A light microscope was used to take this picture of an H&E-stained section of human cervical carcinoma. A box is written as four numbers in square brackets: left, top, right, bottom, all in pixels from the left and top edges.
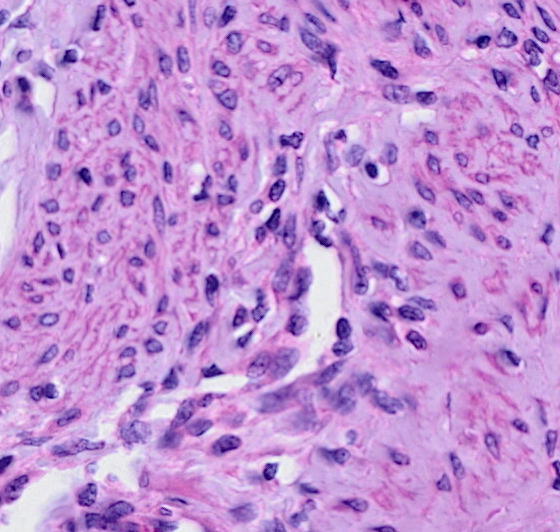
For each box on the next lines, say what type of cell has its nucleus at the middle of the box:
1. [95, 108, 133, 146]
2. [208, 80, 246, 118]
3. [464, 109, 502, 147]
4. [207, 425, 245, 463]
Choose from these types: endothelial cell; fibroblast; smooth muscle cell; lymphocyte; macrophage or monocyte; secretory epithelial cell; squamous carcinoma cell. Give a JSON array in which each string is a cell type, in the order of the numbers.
["smooth muscle cell", "smooth muscle cell", "smooth muscle cell", "lymphocyte"]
